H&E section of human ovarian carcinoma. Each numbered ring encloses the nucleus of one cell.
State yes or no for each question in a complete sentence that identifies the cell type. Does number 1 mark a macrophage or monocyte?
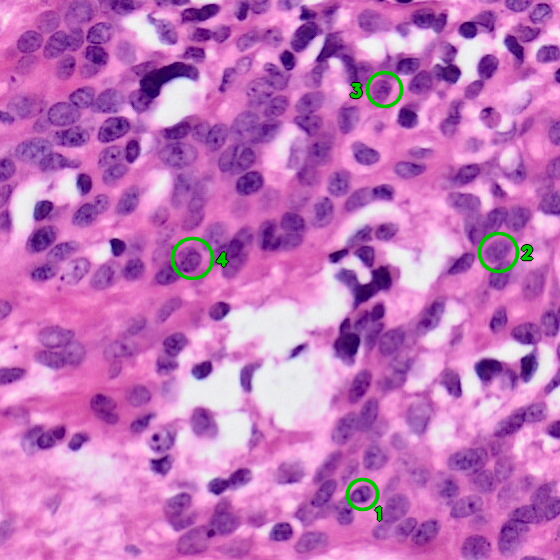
Yes, cell 1 among the marked cells is a macrophage or monocyte.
